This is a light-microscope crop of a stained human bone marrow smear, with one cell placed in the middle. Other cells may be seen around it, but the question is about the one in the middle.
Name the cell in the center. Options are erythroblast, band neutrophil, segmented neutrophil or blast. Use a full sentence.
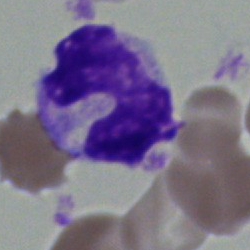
Standing at the centre of this crop is a band neutrophil.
